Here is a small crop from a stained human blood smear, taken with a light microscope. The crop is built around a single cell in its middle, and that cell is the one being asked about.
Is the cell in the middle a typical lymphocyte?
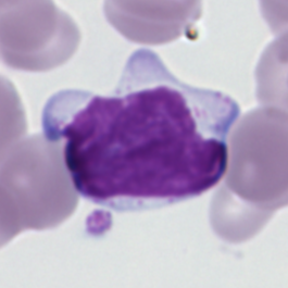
no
